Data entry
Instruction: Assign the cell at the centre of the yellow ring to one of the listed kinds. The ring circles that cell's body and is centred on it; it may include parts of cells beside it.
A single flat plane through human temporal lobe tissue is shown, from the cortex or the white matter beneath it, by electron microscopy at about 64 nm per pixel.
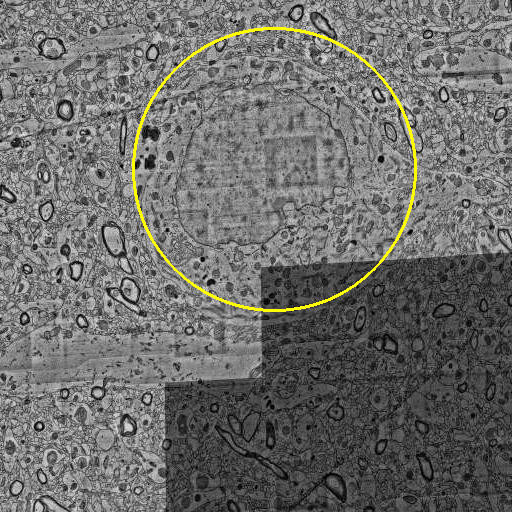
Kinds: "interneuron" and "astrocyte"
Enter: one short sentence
The centre of the ring falls on an interneuron.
